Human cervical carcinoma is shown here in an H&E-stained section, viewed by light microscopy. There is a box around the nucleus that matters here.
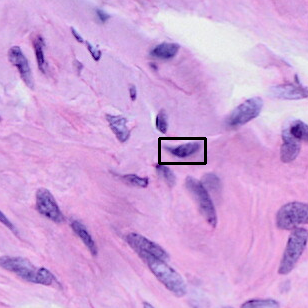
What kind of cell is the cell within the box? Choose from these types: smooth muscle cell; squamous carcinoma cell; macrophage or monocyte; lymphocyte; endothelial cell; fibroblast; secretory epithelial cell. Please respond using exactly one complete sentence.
As a matter of cell type, the cell within the box is a fibroblast.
